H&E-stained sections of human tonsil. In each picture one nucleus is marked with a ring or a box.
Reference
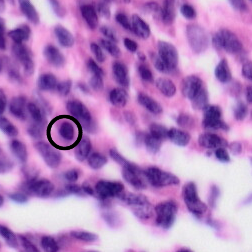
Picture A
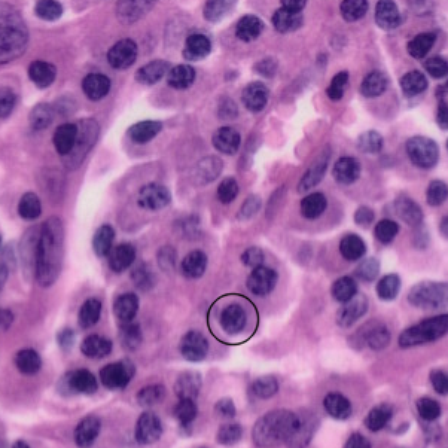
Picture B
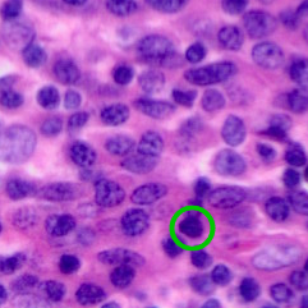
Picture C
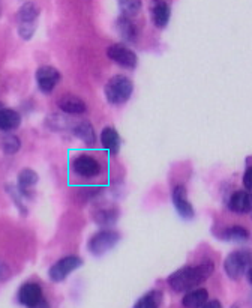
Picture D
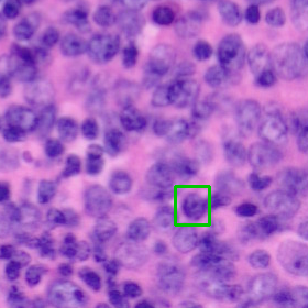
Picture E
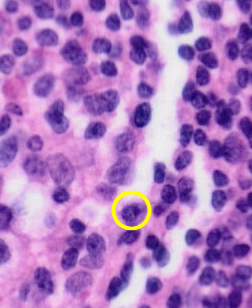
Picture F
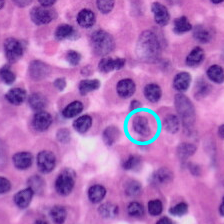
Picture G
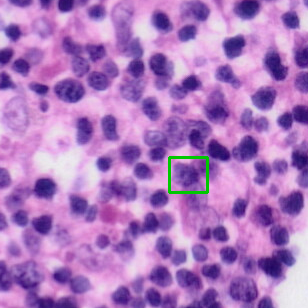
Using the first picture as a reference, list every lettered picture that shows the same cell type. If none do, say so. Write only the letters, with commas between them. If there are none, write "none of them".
D, E, G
